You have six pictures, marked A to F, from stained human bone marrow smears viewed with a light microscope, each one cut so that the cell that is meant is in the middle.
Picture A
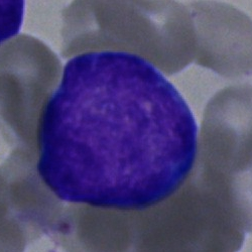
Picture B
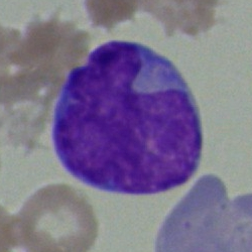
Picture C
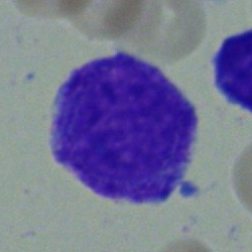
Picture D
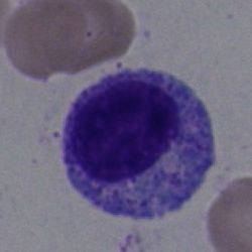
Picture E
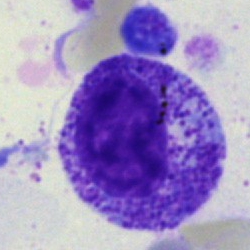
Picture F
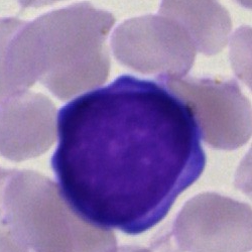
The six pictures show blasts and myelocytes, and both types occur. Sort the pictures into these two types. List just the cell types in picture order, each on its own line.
blast
blast
blast
myelocyte
myelocyte
blast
